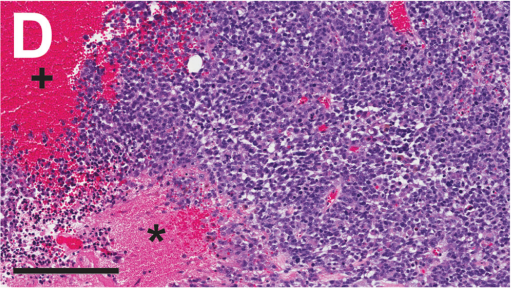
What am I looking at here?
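Most of the field is a crowded sheet of tumor cells with dark, round nuclei and little cytoplasm. At the upper left is a bright red area packed with red blood cells, and below it a pale pink, smudgy zone lacking intact nuclei. These are a focus of hemorrhage and a focus of necrosis within the tumor, both bordered directly by viable tumor cells.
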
